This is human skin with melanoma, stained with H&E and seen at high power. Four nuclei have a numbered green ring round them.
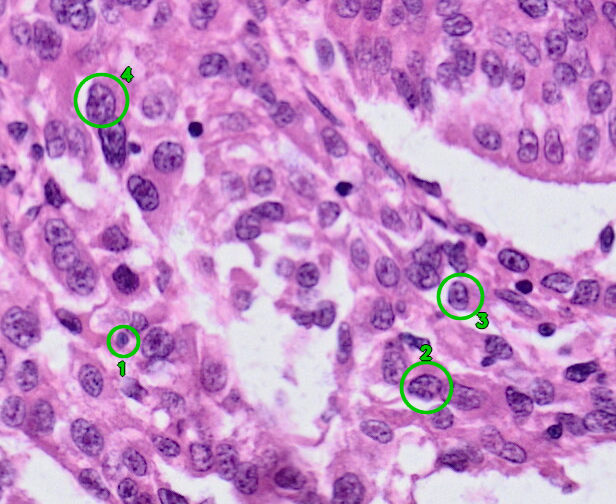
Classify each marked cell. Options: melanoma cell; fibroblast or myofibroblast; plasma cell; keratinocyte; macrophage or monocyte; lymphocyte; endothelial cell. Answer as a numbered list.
1. lymphocyte
2. melanoma cell
3. melanoma cell
4. melanoma cell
